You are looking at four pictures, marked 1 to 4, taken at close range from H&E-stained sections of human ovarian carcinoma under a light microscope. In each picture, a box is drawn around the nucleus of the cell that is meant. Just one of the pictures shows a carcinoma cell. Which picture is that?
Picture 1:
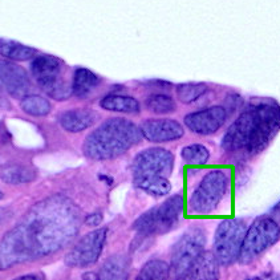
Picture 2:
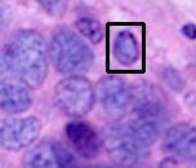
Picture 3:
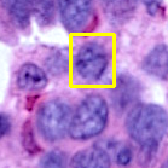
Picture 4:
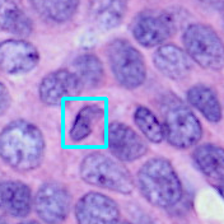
1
